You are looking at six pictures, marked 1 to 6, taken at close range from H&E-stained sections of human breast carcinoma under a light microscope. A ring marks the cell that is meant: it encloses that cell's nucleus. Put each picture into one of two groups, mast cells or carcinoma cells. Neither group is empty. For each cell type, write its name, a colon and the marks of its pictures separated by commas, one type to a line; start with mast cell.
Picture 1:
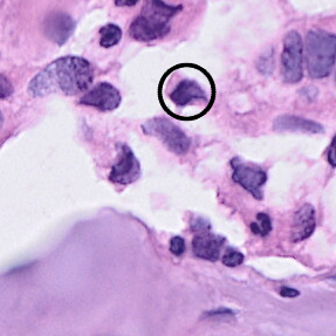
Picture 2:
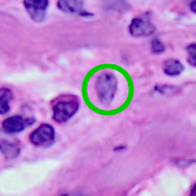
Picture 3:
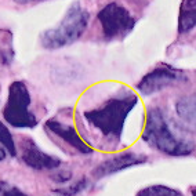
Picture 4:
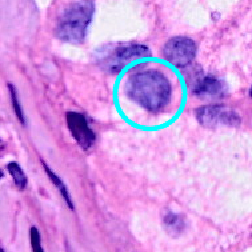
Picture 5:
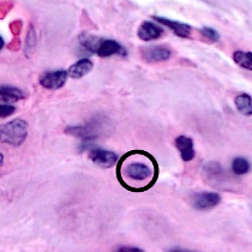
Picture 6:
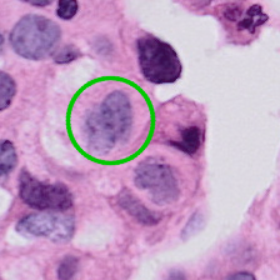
mast cell: 2, 5
carcinoma cell: 1, 3, 4, 6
